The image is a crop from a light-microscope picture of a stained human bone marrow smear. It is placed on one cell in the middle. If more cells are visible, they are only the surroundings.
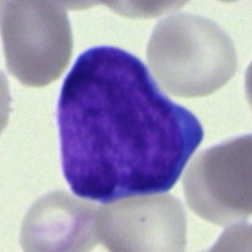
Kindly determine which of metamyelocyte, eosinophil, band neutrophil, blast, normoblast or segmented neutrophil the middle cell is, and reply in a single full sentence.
Classified as a blast is the cell in the middle of this crop.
